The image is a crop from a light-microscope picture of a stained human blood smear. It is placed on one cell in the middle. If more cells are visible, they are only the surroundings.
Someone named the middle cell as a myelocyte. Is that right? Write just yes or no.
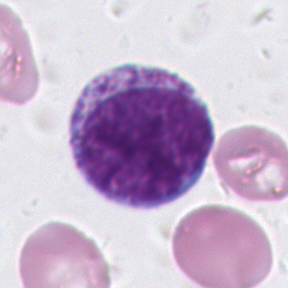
yes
